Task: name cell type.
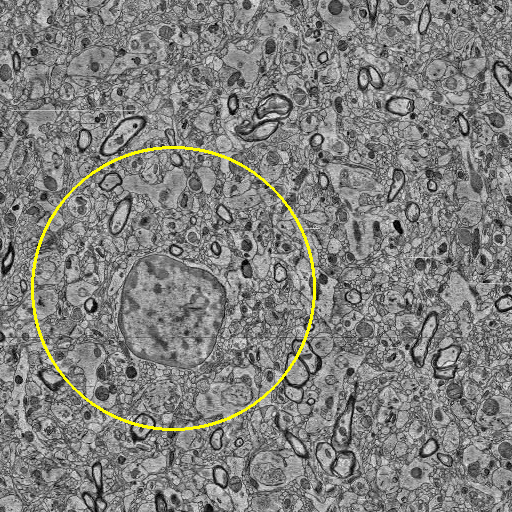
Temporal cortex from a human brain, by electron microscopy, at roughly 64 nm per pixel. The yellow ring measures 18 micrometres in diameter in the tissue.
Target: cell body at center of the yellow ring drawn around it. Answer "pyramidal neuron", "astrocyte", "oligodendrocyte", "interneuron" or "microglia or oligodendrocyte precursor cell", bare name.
microglia or oligodendrocyte precursor cell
